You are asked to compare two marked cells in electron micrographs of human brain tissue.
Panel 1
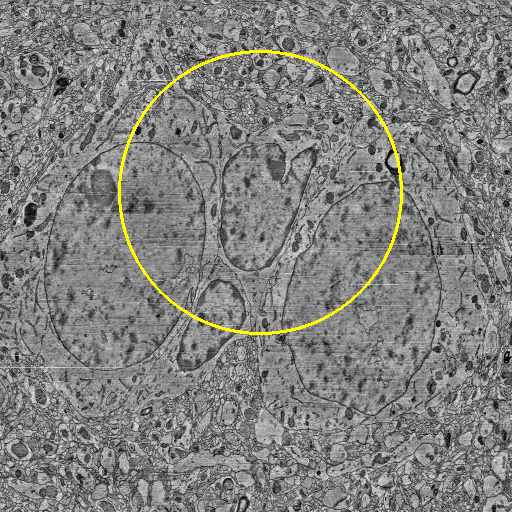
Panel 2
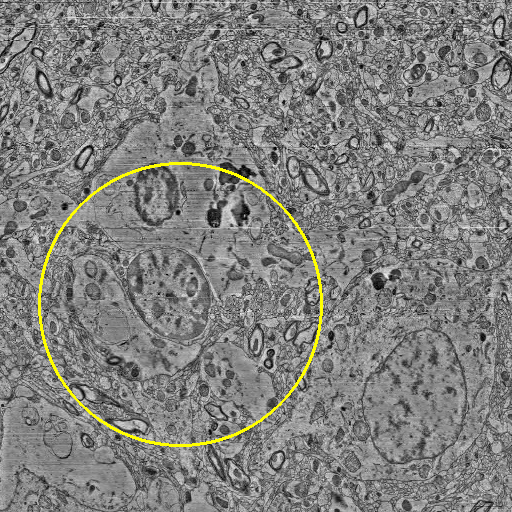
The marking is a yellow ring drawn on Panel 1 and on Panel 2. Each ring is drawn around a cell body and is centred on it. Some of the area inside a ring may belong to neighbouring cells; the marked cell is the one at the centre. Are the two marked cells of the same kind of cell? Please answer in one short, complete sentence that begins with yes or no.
Yes, the two marked cells are of the same kind.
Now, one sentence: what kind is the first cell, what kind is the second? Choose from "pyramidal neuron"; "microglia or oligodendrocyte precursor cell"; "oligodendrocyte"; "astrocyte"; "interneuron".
In each picture the ringed cell is a microglial cell or oligodendrocyte precursor cell.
